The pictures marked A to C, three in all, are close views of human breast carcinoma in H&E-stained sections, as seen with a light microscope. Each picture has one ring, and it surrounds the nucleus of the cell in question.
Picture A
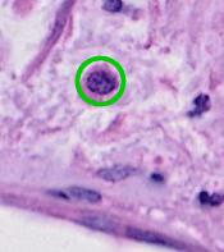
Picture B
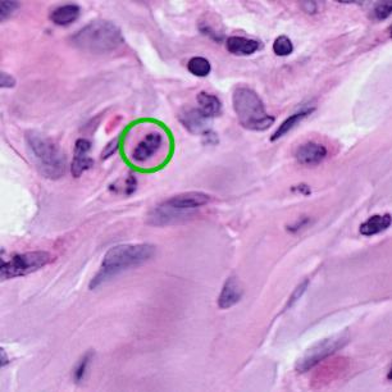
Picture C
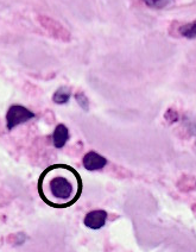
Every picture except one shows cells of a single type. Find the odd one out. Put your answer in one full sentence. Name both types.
All pictures except C show mast cells; picture C shows a lymphocyte.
